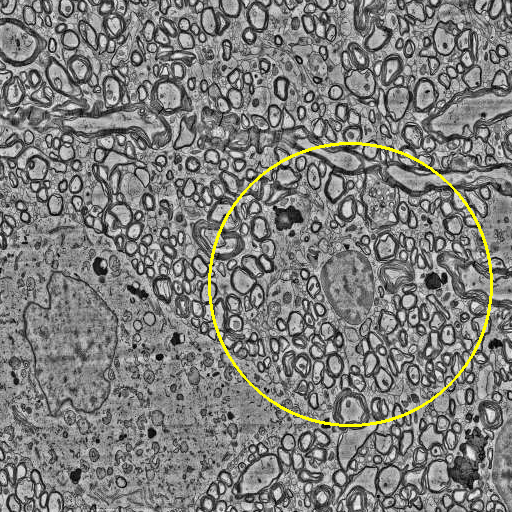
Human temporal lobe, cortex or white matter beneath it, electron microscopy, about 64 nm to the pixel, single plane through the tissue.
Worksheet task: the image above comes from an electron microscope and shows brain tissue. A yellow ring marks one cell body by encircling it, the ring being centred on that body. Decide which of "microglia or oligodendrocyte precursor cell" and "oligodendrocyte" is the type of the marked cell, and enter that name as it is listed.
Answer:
microglia or oligodendrocyte precursor cell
